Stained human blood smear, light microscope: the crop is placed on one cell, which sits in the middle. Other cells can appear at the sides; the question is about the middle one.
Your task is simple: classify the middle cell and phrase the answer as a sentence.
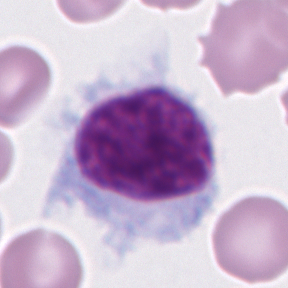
The cell of interest, in the center, is a hairy cell.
